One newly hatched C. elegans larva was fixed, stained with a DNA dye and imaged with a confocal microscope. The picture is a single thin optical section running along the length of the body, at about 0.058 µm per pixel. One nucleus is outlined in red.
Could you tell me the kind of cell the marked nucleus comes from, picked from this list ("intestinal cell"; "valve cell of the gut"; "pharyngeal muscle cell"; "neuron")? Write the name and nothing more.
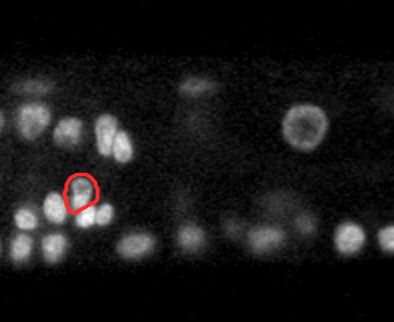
pharyngeal muscle cell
